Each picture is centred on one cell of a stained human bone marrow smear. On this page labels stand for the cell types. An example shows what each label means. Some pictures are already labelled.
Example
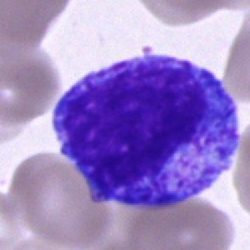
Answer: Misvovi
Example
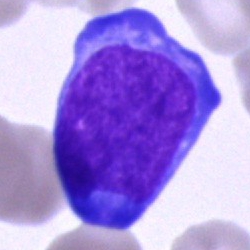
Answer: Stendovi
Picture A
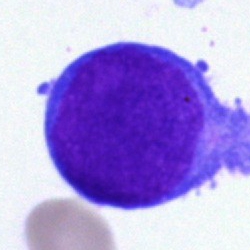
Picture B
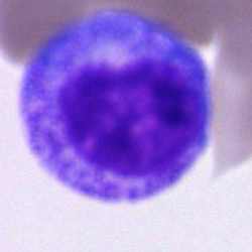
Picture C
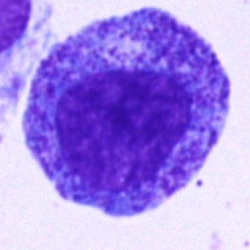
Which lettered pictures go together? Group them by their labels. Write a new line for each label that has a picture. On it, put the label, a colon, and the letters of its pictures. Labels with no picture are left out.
Misvovi: B, C
Stendovi: A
